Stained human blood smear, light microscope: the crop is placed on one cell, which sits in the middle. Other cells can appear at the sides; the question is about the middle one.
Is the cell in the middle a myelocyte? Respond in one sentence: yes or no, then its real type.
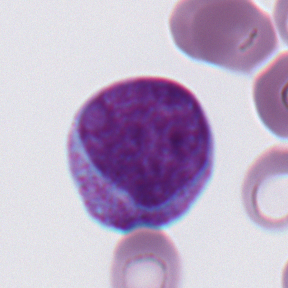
No, it isn't a myelocyte; what sits in the middle is an atypical promyelocyte.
